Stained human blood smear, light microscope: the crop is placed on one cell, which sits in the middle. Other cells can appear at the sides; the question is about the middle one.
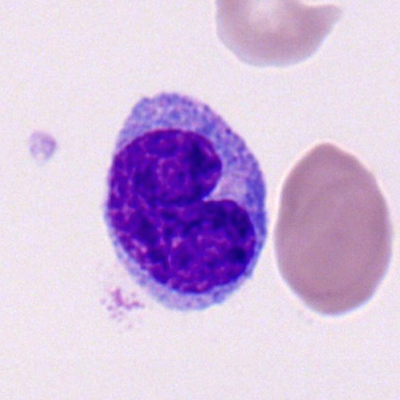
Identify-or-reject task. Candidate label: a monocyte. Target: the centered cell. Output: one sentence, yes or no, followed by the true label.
Yes, the cell centred in the field of view is a monocyte.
